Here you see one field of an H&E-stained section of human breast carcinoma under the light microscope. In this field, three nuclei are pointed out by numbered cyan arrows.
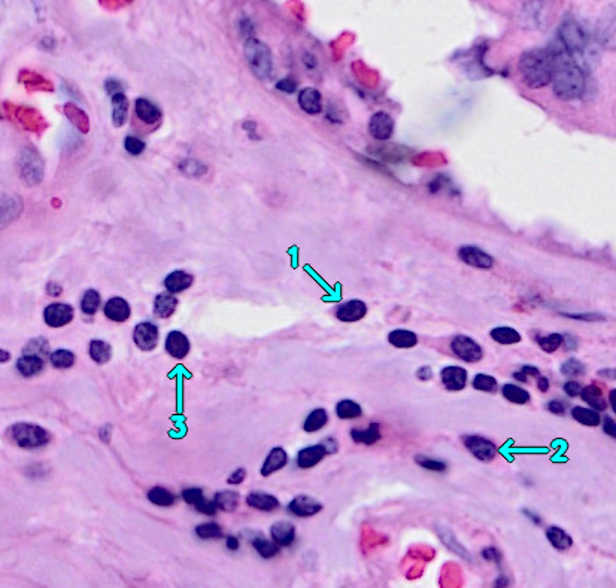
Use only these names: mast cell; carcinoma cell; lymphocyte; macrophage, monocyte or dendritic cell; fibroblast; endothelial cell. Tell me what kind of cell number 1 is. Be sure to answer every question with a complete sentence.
Cell 1, as marked in the section, is a lymphocyte.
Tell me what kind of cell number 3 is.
Cell 3 in the field of view is a lymphocyte.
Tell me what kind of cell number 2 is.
The cell bearing label 2 corresponds to a mast cell.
